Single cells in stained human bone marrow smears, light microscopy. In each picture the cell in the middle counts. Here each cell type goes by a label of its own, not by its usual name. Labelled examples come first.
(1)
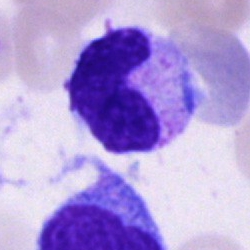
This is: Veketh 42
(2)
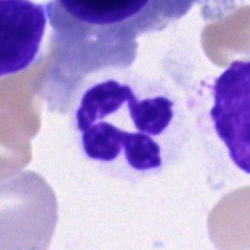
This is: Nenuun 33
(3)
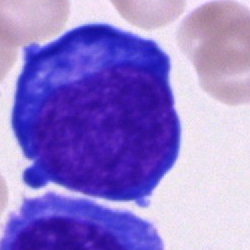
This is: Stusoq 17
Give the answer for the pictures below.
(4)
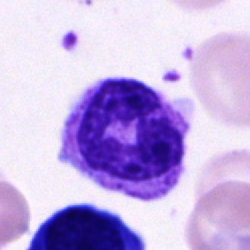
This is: Veketh 42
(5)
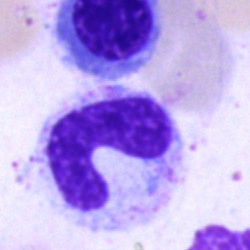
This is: Veketh 42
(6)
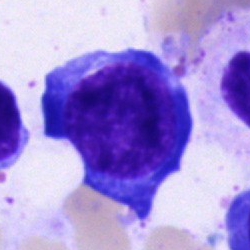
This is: Stusoq 17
